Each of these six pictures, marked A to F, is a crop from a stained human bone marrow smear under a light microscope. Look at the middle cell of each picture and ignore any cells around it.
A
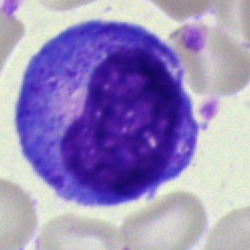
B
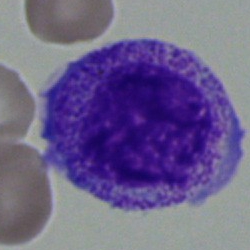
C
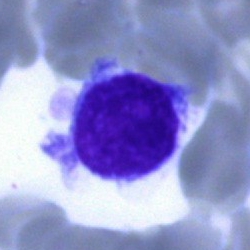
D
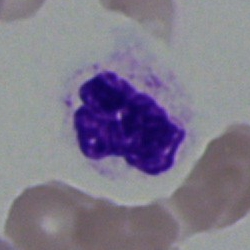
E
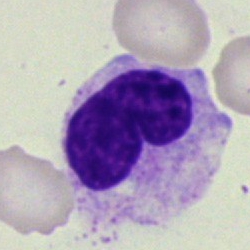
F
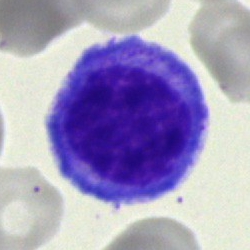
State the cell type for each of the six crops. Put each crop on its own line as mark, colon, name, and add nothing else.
A: promyelocyte
B: promyelocyte
C: hairy cell
D: segmented neutrophil
E: band neutrophil
F: promyelocyte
